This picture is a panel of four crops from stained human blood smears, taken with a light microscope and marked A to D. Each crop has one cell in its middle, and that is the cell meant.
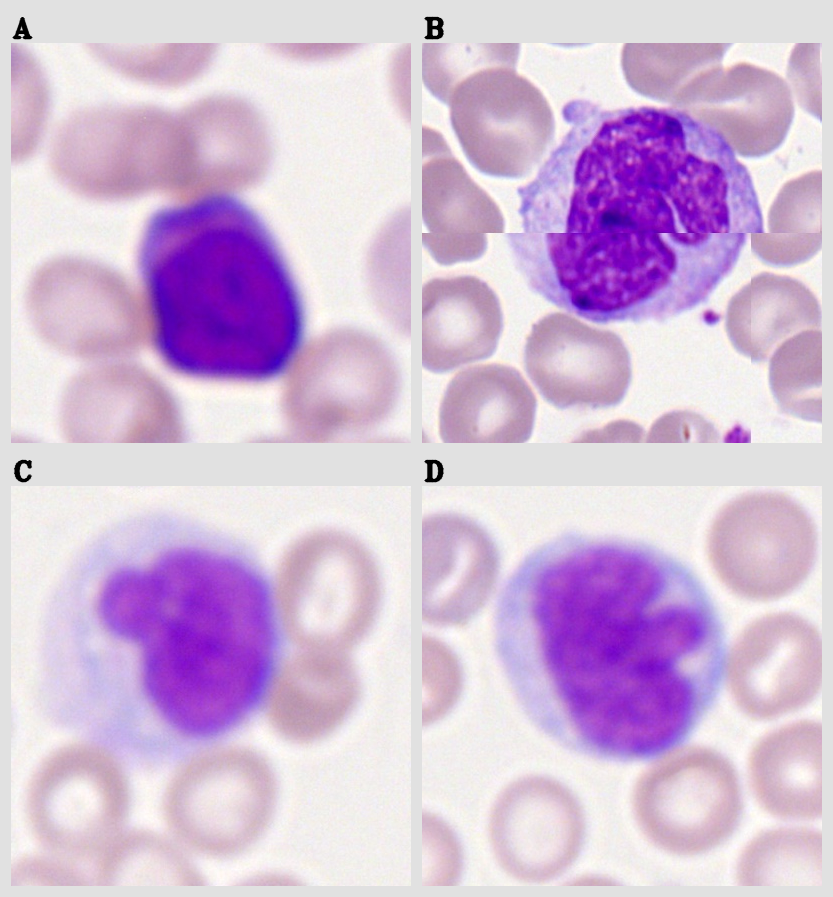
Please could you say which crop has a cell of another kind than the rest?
A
